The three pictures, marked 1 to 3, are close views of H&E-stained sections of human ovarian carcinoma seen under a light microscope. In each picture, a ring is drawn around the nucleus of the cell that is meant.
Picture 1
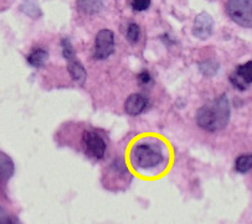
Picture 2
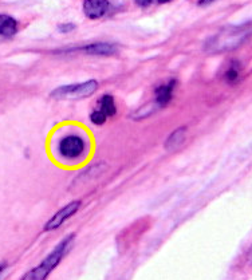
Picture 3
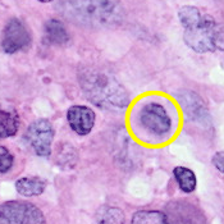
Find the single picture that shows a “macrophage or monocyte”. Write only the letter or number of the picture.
1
